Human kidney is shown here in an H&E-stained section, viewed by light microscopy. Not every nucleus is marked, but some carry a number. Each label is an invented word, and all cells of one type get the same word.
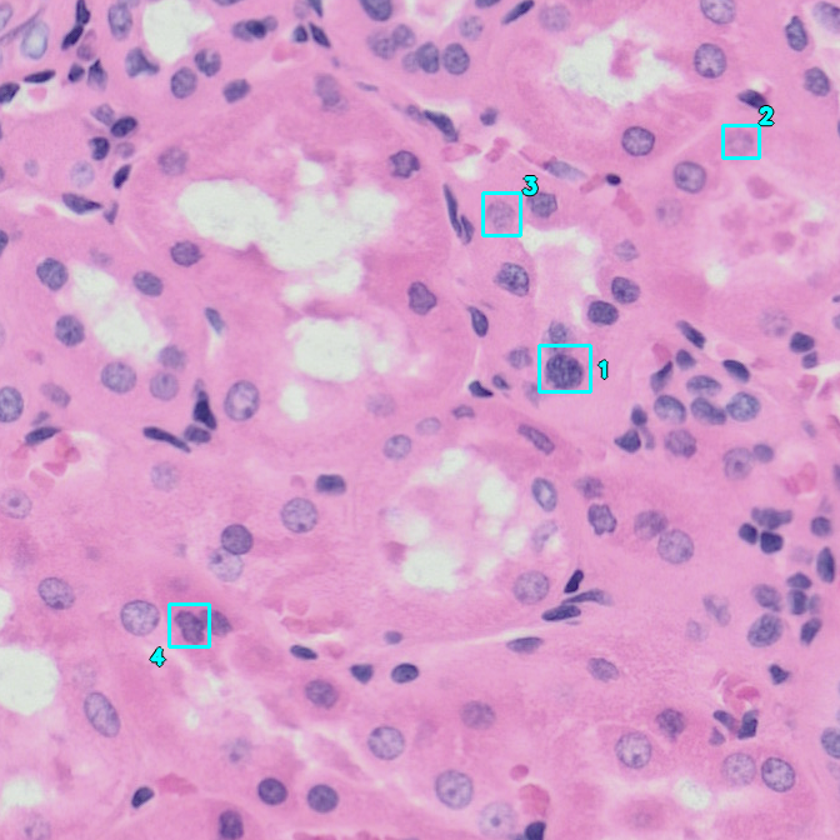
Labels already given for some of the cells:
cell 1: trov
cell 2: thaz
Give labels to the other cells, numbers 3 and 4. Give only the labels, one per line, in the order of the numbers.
trov
thaz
